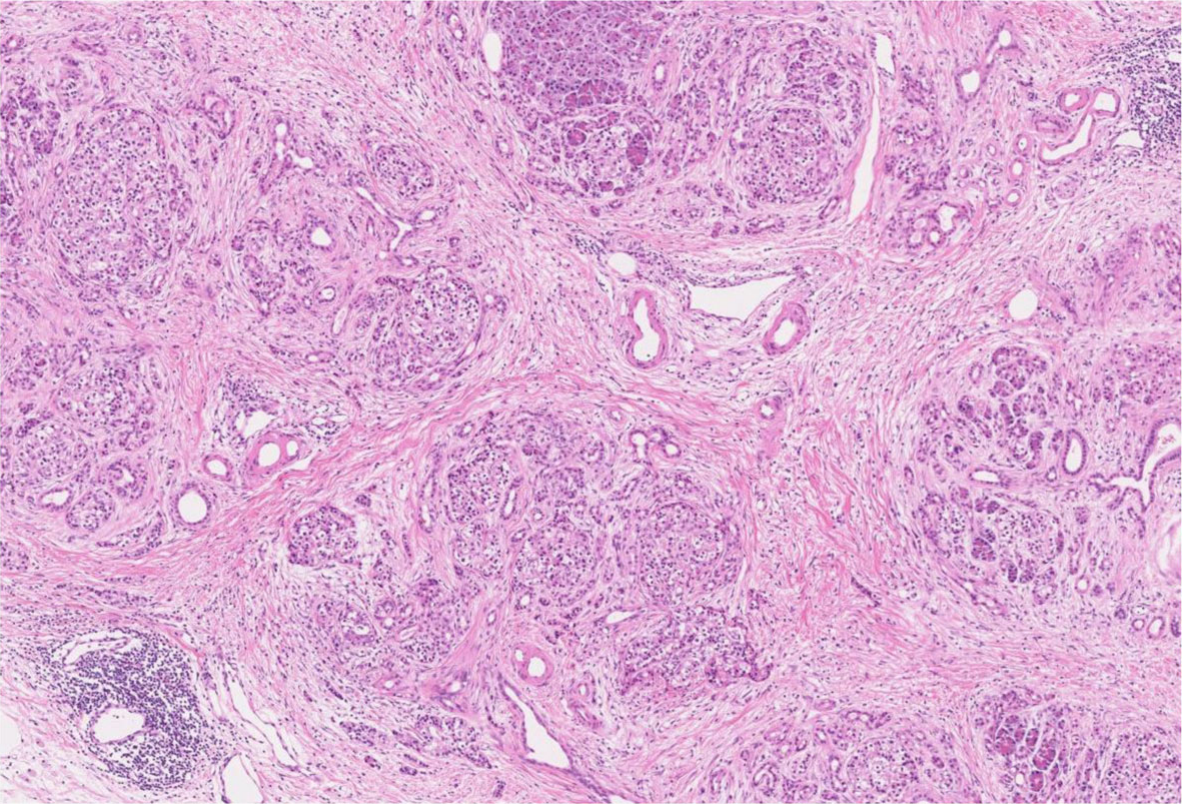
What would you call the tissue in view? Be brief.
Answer: Pancreatic parenchyma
